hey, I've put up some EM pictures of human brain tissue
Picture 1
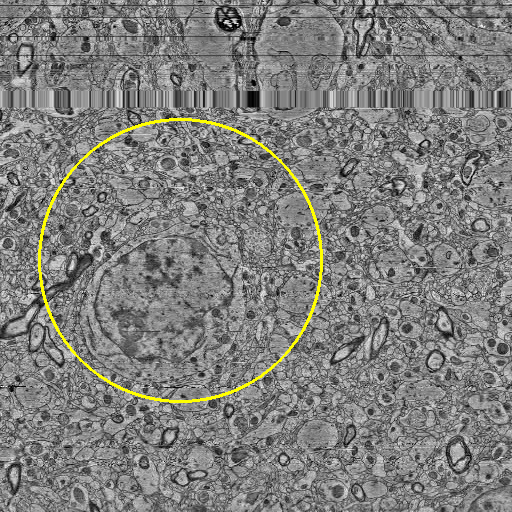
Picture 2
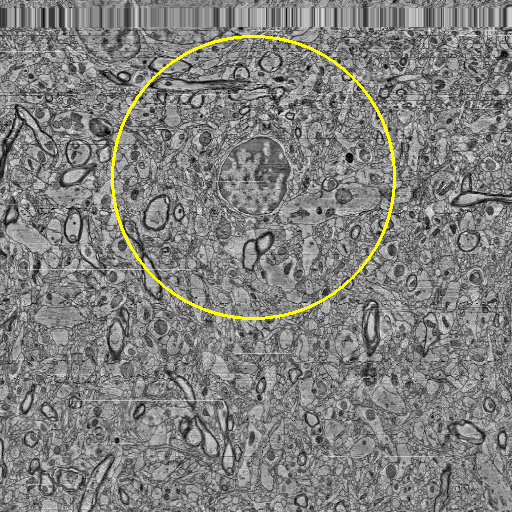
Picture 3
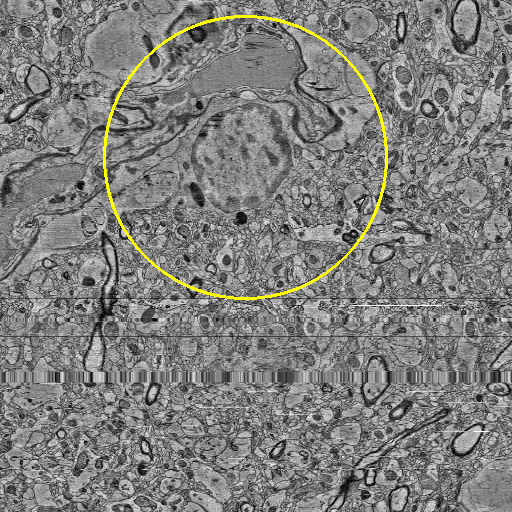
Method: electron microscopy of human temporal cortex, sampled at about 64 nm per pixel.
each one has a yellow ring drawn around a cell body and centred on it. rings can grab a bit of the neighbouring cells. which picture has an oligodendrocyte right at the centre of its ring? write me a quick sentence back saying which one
It's Picture 3.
